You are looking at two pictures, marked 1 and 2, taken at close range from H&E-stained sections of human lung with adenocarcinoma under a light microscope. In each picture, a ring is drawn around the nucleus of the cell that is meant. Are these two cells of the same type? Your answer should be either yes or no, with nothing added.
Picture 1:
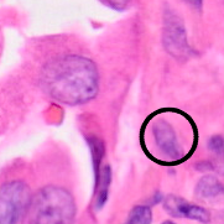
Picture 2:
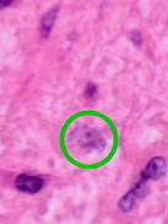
yes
